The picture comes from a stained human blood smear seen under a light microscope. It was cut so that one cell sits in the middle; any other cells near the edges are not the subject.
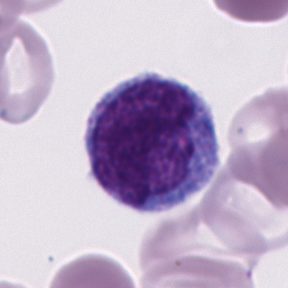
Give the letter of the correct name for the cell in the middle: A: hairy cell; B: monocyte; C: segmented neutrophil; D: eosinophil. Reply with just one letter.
B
